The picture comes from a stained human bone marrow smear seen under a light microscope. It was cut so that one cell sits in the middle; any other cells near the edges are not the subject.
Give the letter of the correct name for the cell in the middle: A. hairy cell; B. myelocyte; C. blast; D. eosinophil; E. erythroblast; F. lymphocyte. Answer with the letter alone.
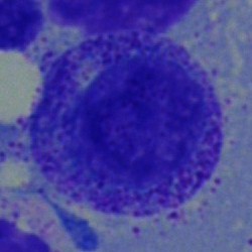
B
